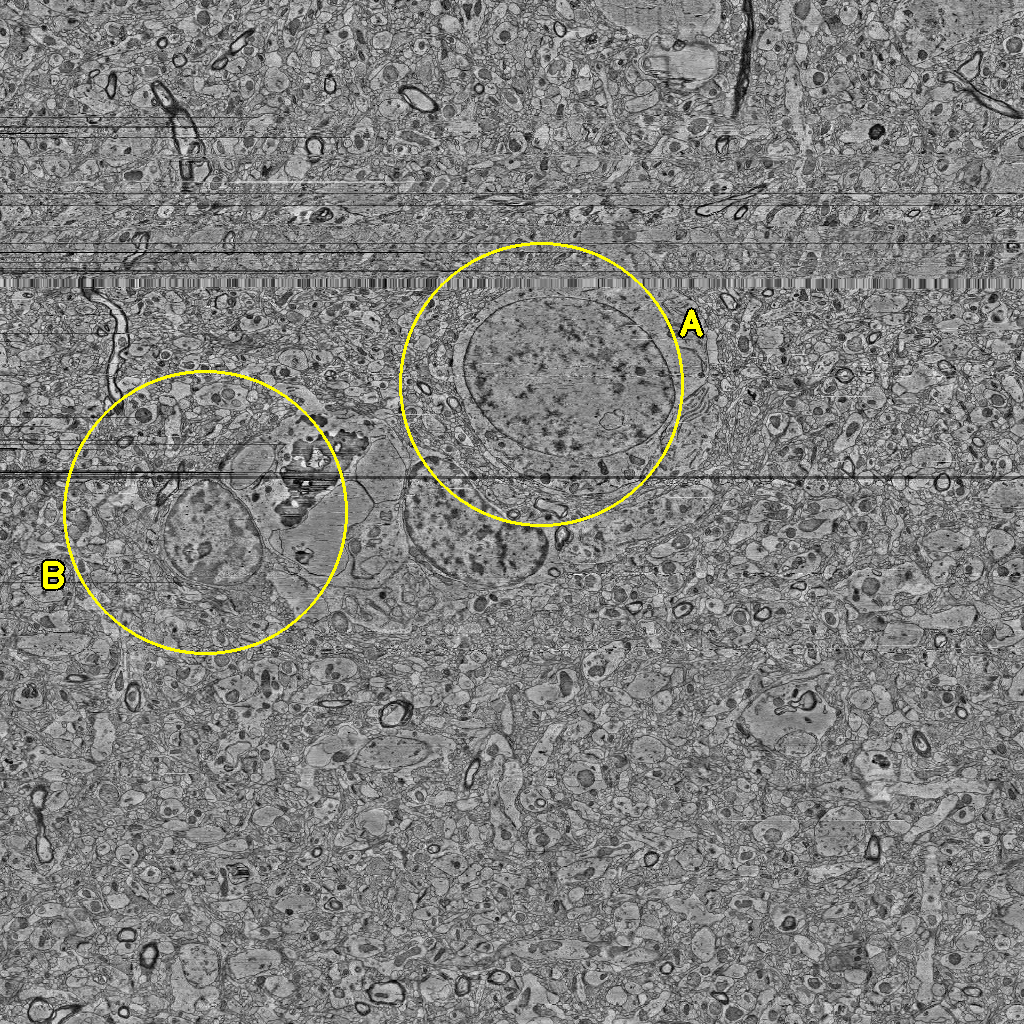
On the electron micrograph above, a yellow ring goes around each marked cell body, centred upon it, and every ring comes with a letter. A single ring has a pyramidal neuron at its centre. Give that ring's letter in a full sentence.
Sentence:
The ring holding the cell asked for at its centre bears the letter A.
